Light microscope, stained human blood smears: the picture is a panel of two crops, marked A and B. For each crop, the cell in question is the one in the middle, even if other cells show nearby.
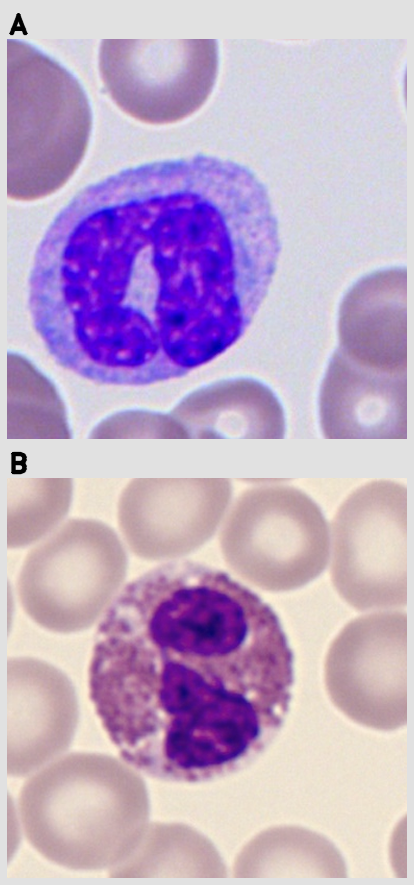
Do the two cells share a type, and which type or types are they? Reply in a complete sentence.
No, record crop A as a monocyte and crop B as an eosinophil.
